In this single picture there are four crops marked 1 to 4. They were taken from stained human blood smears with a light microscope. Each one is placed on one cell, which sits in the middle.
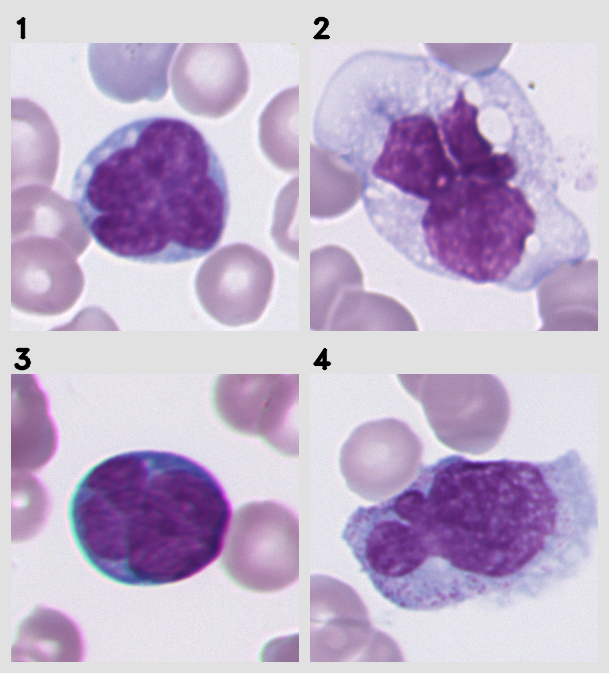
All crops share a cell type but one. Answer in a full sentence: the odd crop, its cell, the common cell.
The one crop not showing myeloblasts is crop 2, which shows a monocyte.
